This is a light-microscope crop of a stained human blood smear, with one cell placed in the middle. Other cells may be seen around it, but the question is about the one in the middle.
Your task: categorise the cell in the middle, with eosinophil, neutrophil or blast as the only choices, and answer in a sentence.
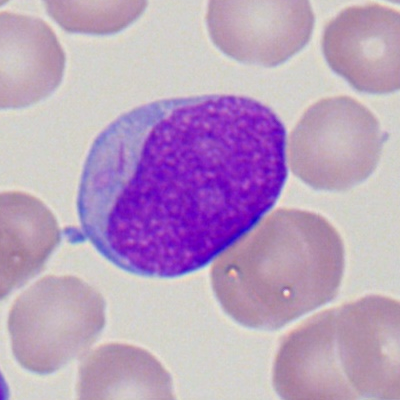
The crop centres on a single cell, and that cell is a blast.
